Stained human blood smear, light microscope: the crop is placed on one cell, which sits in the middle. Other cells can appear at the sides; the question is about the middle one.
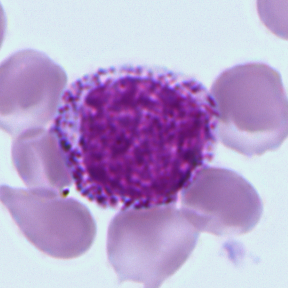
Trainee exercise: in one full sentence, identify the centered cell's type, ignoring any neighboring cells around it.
The cell nearest the centre of this crop is a myelocyte.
